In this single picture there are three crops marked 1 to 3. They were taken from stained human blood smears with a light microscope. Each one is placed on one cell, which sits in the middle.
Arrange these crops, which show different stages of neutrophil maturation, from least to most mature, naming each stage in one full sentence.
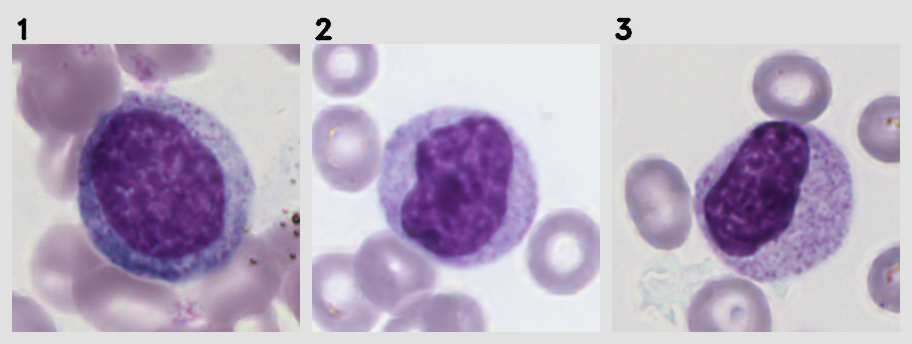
Once sorted from least to most mature, the sequence is crop 1 (a promyelocyte), crop 2 (a myelocyte) and crop 3 (a metamyelocyte).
